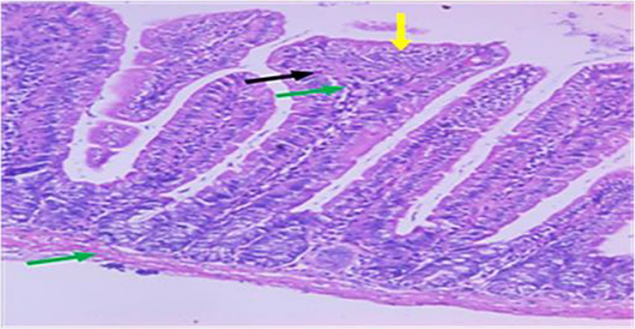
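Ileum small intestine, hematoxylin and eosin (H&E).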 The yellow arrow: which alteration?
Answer: broad and blunt villous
